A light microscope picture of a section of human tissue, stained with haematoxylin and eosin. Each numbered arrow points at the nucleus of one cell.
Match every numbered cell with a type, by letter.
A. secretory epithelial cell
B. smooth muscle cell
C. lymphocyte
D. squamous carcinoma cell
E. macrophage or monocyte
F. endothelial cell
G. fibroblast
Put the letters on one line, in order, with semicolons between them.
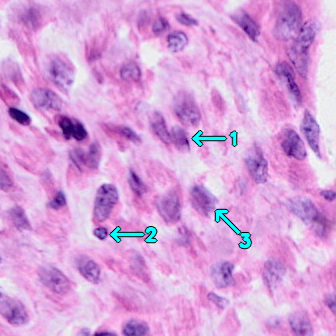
G; C; G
